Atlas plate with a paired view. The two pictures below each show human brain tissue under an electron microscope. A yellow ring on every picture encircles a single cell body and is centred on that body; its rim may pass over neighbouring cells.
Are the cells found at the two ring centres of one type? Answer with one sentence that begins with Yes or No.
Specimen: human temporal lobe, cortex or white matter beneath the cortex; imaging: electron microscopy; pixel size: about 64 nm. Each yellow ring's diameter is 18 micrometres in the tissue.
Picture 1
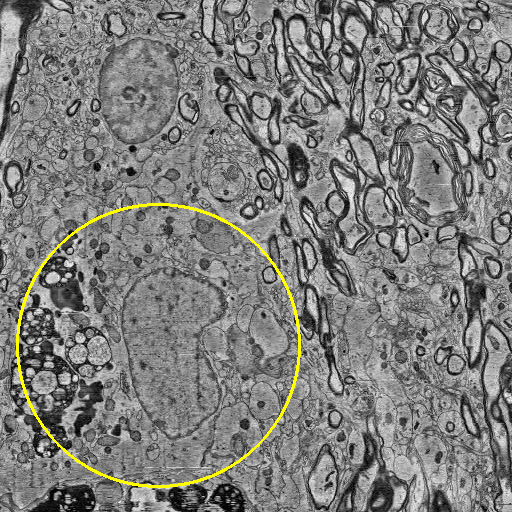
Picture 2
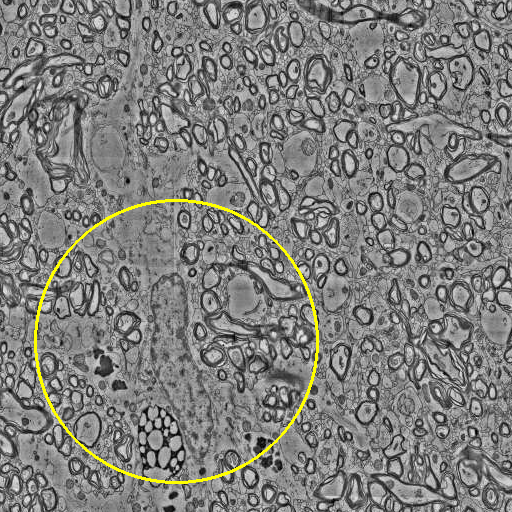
Yes, the two cells lying at the centres of the rings share a single type.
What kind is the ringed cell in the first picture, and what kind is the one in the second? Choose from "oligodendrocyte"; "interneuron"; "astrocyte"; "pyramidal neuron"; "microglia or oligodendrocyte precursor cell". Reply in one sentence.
Both rings mark an astrocyte, one in each picture.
